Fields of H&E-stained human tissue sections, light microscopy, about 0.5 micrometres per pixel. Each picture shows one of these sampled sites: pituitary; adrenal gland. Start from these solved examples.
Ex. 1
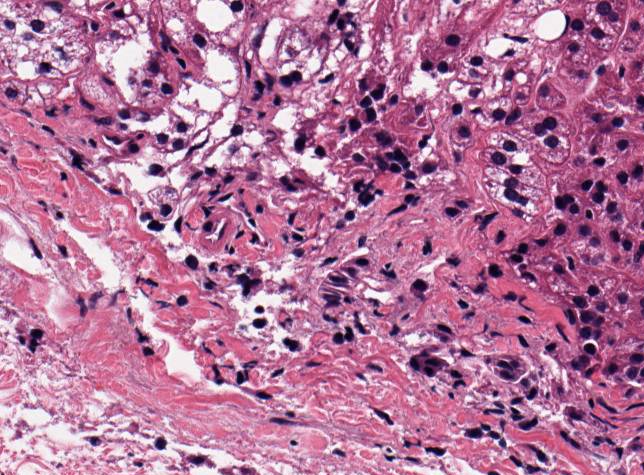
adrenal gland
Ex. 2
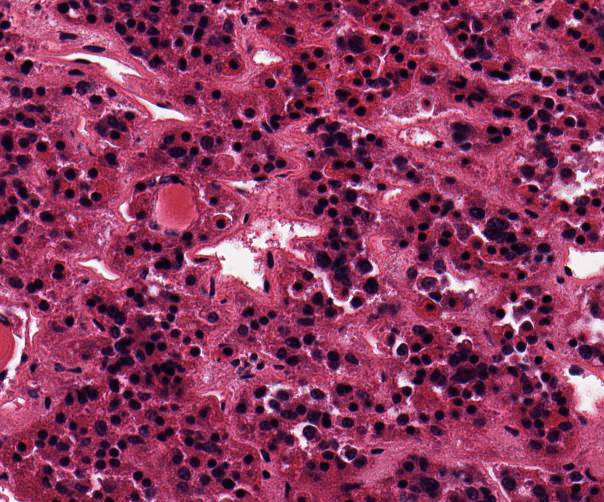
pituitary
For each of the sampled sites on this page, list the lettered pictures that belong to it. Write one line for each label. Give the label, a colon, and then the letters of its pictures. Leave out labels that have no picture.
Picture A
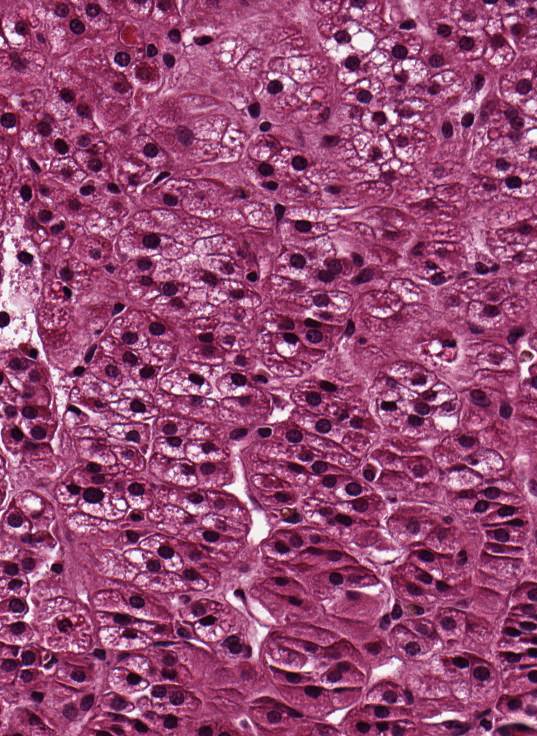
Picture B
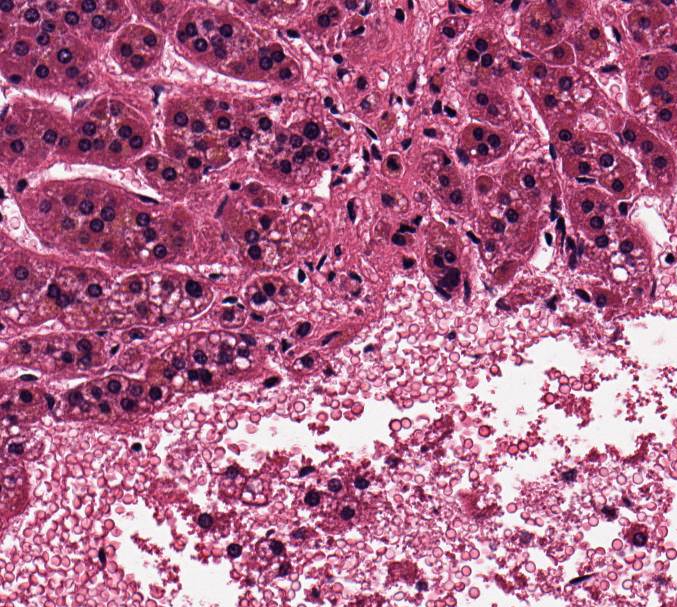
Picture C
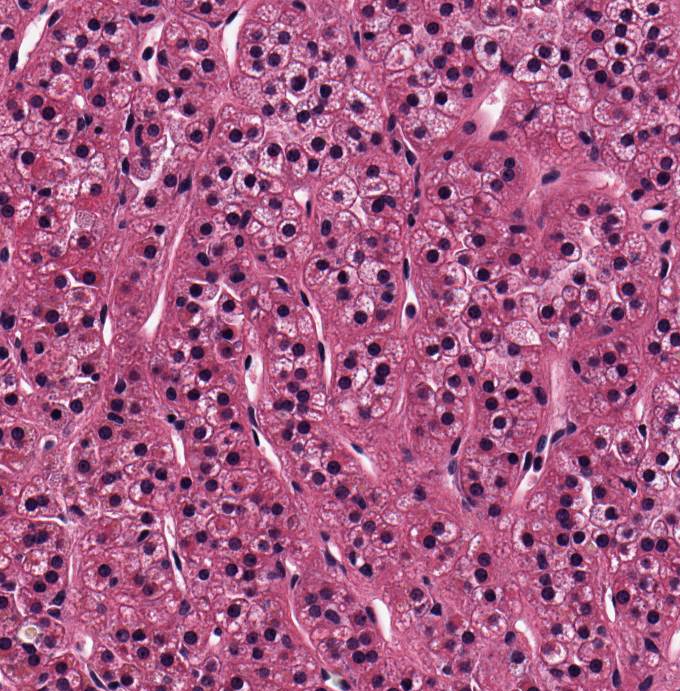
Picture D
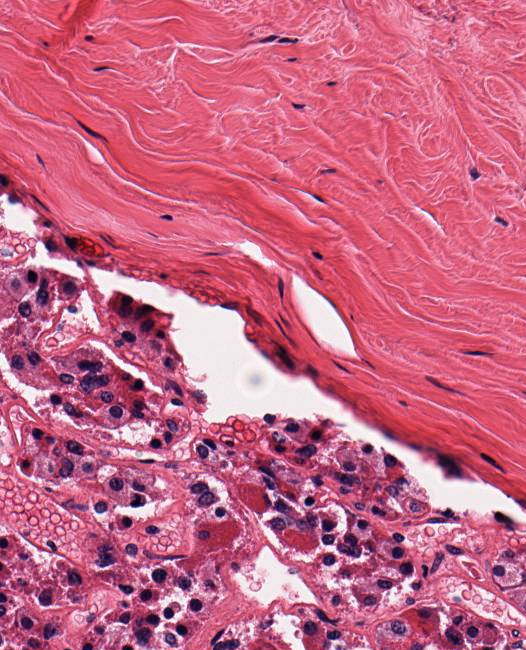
pituitary: D
adrenal gland: A, B, C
